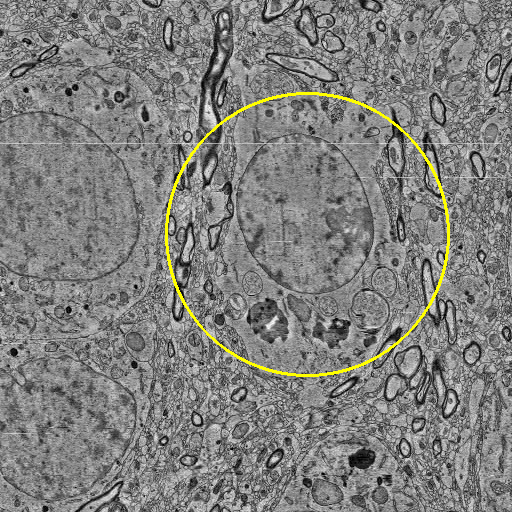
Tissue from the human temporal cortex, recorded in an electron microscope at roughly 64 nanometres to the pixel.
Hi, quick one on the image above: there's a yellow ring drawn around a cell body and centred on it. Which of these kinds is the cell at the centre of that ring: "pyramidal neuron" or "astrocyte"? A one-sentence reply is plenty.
The cell at the centre of the ring is an astrocyte.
